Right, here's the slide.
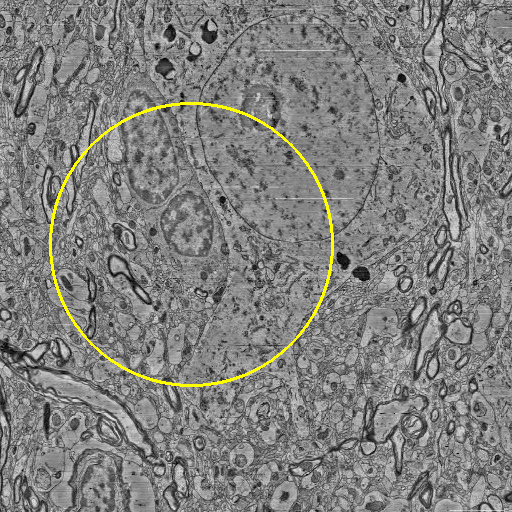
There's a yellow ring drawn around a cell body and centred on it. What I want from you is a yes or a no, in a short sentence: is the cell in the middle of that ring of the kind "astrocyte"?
No, it's of some other kind.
